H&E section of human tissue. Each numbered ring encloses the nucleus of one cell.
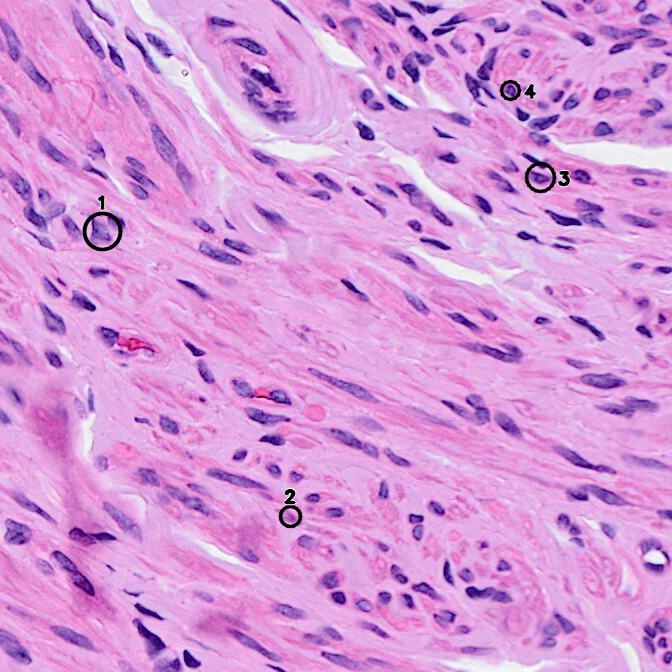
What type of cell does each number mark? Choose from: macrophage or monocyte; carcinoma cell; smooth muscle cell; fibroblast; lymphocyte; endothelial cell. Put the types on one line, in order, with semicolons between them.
fibroblast; smooth muscle cell; smooth muscle cell; smooth muscle cell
